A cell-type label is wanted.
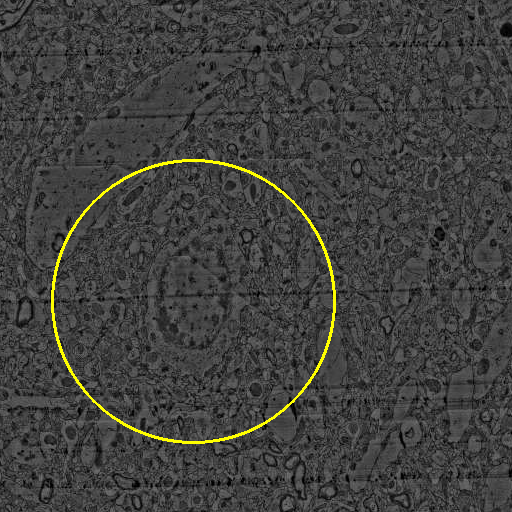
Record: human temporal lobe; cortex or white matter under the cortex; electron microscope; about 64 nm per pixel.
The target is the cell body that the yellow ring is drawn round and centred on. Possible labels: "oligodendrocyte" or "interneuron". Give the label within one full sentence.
Of the labels offered, the cell in the middle of the yellow ring is an interneuron.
